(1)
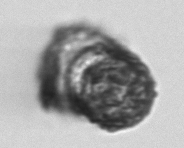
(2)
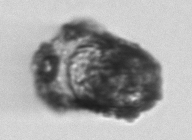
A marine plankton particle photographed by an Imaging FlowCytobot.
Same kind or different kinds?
Same: tintinnids.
